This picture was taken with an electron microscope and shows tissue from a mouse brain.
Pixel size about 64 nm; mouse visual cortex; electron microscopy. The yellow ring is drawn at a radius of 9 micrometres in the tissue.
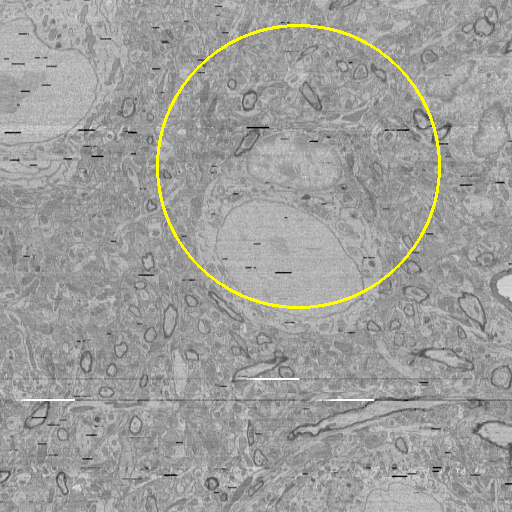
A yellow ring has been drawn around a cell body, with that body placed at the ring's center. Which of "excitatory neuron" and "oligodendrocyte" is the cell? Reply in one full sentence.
In this picture, an oligodendrocyte is the cell at the center of the yellow ring.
